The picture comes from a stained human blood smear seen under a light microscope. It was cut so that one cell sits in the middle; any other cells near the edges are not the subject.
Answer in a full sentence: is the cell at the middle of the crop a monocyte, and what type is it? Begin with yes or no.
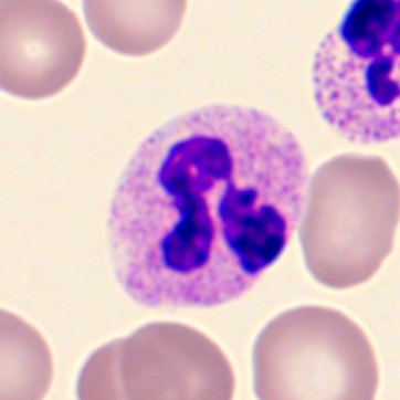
No, instead of a monocyte, the middle cell is a segmented neutrophil.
